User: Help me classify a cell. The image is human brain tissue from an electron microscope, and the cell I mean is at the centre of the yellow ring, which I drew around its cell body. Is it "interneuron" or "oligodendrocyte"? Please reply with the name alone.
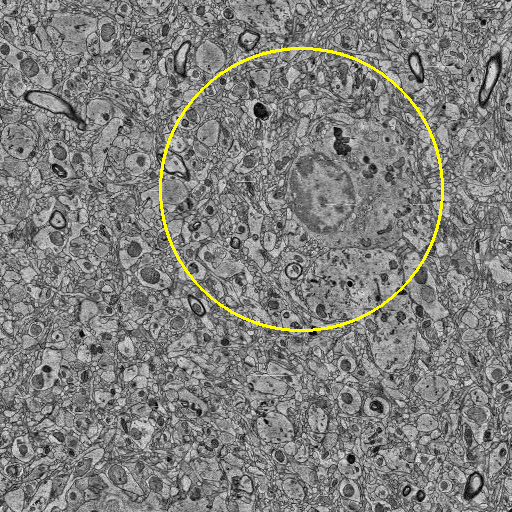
oligodendrocyte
